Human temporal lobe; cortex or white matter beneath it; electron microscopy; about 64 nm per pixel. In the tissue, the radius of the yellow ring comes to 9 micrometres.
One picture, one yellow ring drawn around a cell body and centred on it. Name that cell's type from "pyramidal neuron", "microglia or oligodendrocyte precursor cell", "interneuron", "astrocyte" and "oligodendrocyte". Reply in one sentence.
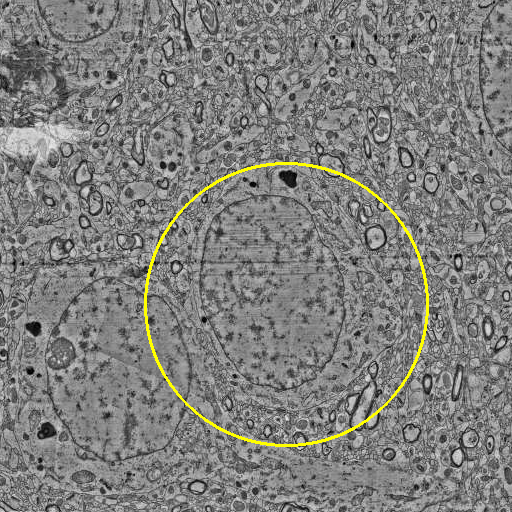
Centred in the ring is a pyramidal neuron.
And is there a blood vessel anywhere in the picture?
No.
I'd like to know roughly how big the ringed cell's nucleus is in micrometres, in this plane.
The nucleus has a long axis of about 13 micrometres and a short axis of about 9 micrometres in this plane.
